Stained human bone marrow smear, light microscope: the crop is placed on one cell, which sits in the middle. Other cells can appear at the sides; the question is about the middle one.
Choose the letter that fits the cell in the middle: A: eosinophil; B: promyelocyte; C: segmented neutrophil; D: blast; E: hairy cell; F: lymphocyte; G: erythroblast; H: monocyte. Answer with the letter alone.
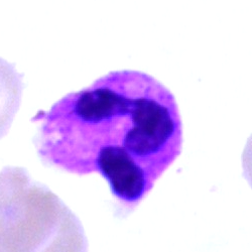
C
